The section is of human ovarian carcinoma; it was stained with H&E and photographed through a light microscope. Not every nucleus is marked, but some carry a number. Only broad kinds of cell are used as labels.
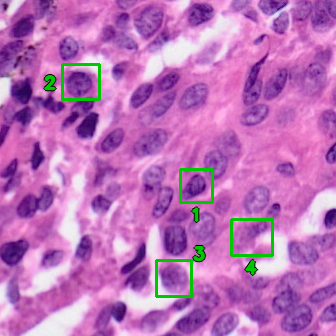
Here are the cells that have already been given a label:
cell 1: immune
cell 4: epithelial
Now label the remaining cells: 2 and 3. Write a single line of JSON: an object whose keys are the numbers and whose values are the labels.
{"2": "epithelial", "3": "epithelial"}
